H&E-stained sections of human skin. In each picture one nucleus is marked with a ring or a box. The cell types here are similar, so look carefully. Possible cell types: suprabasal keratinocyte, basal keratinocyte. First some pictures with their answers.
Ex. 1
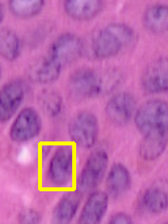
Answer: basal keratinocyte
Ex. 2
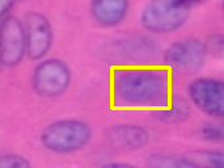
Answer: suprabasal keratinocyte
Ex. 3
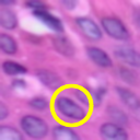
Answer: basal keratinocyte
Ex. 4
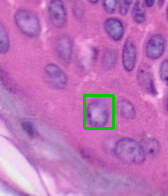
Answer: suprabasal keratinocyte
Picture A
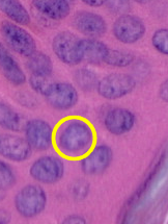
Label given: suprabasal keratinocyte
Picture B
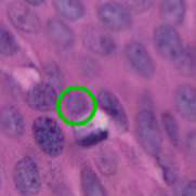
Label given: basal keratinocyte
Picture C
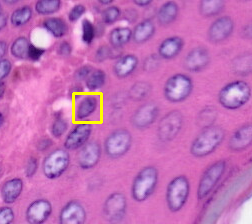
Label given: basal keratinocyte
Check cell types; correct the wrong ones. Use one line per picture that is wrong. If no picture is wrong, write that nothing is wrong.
All labels are correct.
